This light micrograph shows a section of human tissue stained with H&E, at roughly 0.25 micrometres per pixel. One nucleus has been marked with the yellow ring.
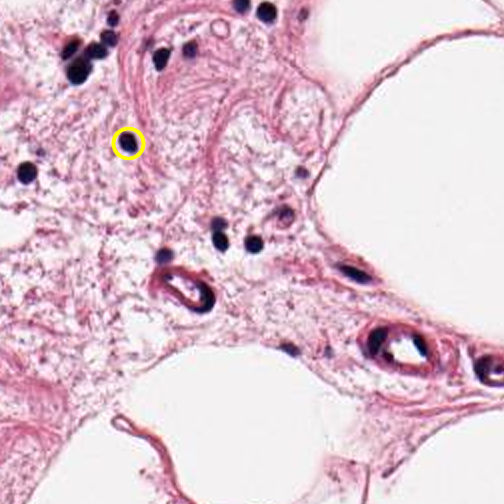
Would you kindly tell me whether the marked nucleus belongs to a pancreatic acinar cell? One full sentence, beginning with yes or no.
No, the marked nucleus belongs to a supporting cell, and a pancreatic acinar cell is not its owner.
